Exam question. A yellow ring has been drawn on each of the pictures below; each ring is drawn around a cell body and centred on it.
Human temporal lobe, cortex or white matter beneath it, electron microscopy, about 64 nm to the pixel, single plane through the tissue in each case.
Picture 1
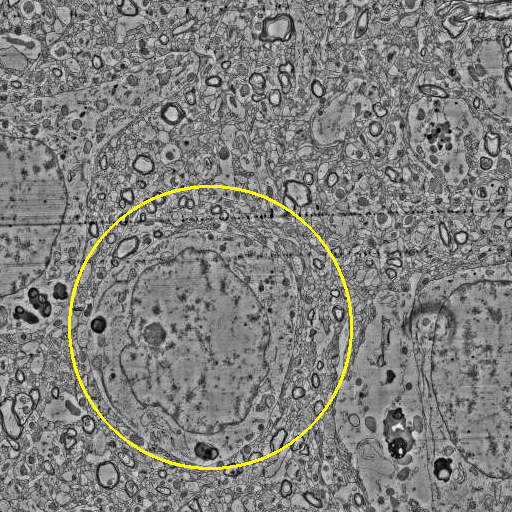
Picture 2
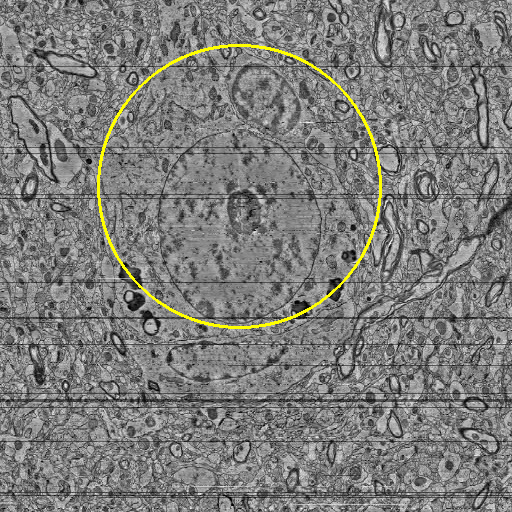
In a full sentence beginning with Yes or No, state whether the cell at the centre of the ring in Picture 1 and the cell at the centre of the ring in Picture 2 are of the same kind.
Yes, the two cells are of the same kind.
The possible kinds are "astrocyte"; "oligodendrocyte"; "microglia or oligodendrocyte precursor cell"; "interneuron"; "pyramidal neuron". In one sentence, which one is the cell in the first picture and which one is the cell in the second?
Each cell at the centre of a ring is a pyramidal neuron.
